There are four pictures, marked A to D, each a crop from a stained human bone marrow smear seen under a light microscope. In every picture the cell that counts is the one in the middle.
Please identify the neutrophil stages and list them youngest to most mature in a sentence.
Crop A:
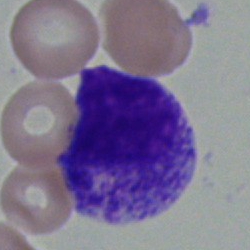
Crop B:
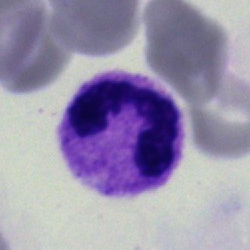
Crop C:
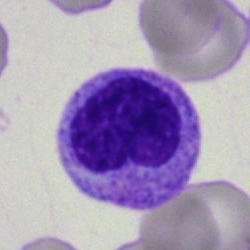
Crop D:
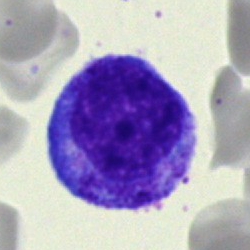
Placed in order of rising maturity, the crops stand as crop D (a promyelocyte), crop A (a myelocyte), crop C (a metamyelocyte) and crop B (a segmented neutrophil).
